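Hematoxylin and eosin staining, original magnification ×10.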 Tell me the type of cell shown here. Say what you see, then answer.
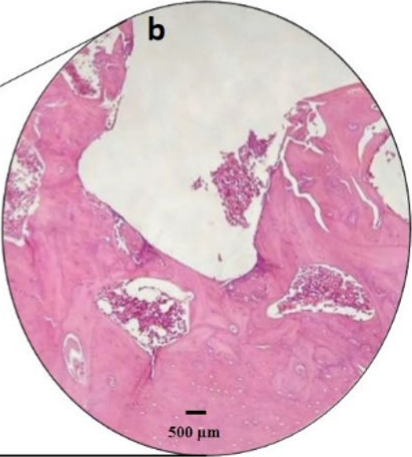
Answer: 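Osteocytes. Pink, dense matrix holds many small scattered lacunae.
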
